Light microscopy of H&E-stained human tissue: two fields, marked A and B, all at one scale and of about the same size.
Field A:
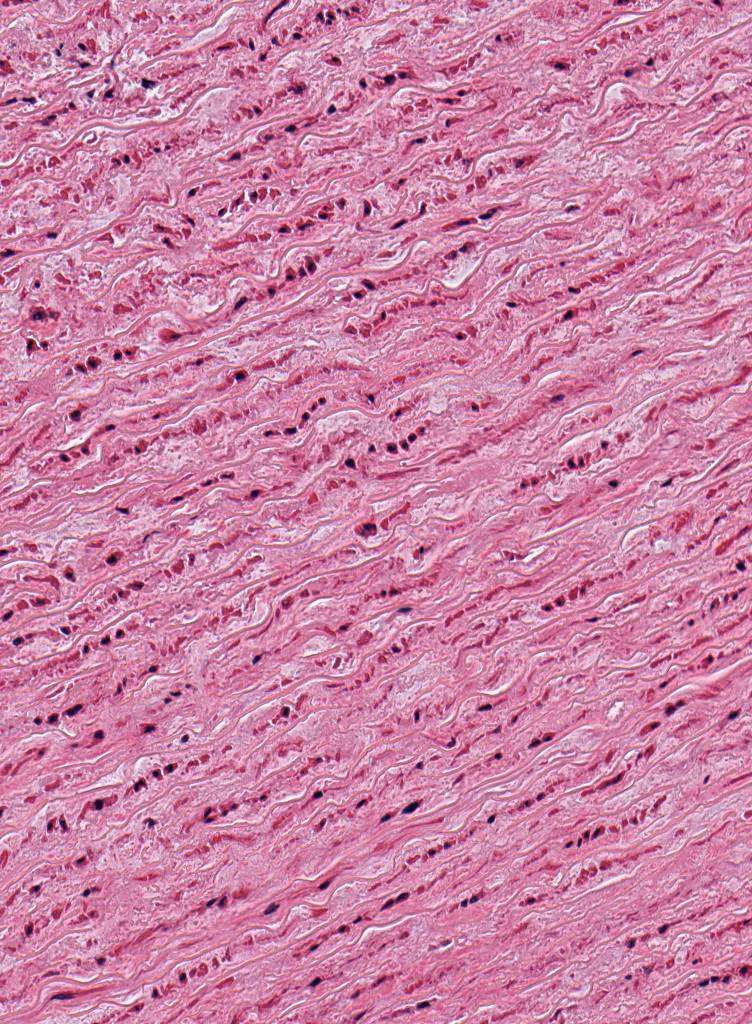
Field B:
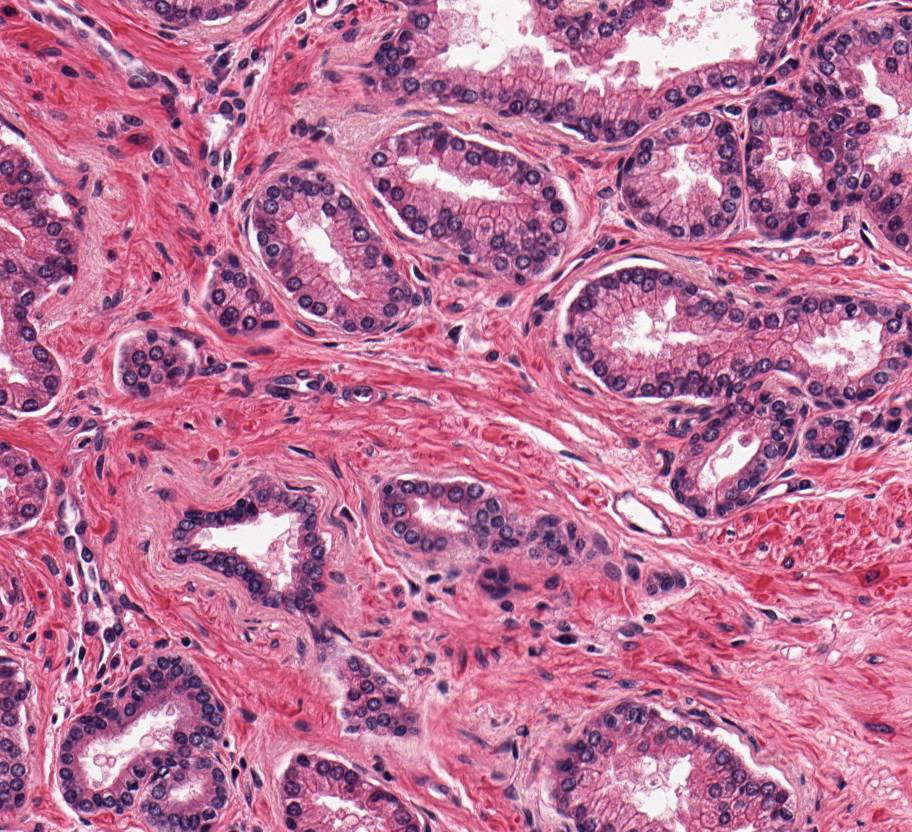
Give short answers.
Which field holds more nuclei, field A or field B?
B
